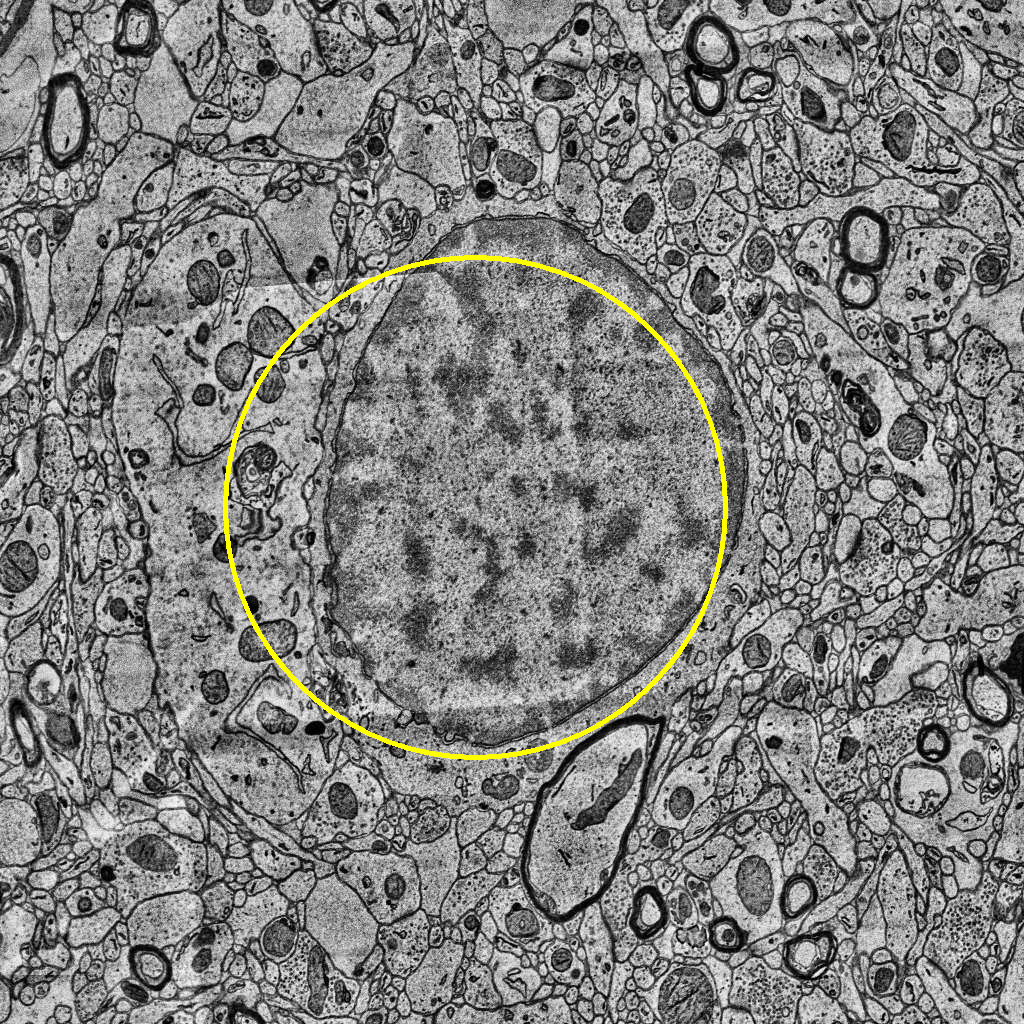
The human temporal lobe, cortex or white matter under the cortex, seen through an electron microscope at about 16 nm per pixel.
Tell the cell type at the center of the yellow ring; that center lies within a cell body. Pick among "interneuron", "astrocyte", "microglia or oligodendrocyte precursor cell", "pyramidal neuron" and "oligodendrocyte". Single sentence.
The ring's center lies in the body of an oligodendrocyte.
